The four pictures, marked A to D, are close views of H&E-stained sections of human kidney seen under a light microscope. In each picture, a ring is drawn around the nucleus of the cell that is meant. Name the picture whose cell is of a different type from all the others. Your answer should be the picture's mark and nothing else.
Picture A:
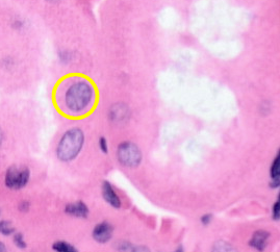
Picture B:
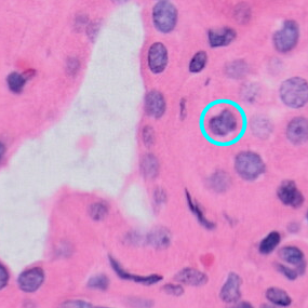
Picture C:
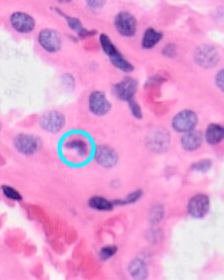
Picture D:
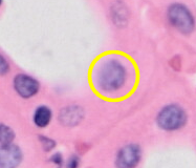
A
